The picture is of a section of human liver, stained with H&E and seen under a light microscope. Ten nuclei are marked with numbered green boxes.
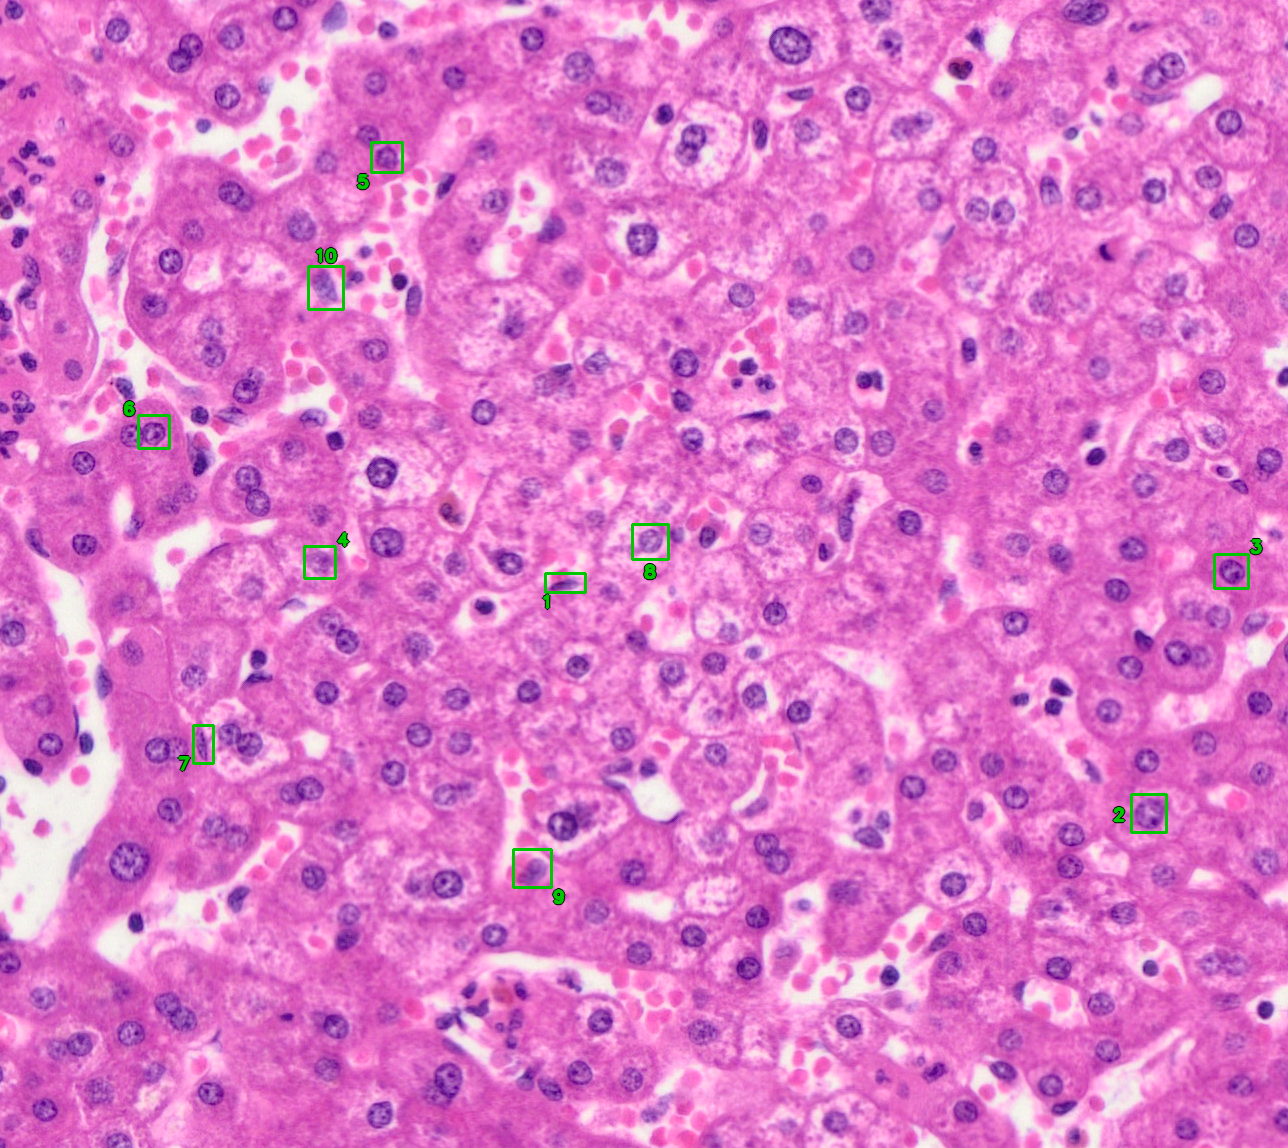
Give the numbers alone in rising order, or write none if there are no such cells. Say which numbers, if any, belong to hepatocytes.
2, 3, 4, 5, 6, 8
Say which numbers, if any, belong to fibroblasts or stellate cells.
7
